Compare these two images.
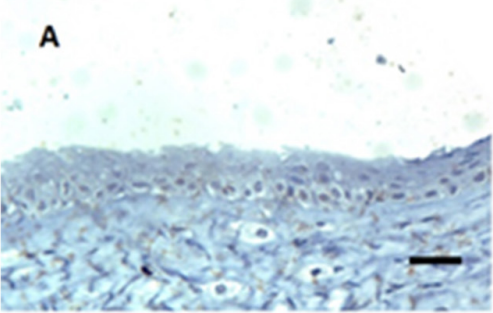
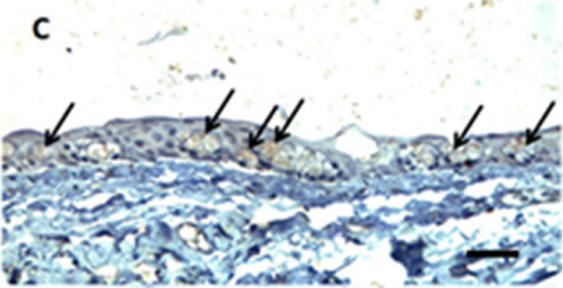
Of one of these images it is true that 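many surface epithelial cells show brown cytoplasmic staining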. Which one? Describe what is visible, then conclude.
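Second image: several enlarged surface epithelial cells have pale brown cytoplasm. First image: the epithelium is blue with no distinctly brown cells.
The second image.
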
